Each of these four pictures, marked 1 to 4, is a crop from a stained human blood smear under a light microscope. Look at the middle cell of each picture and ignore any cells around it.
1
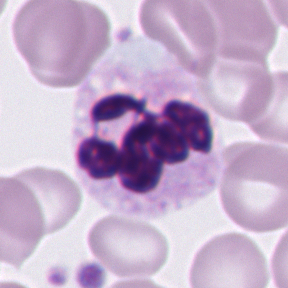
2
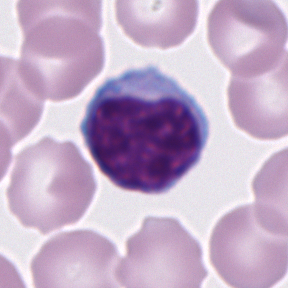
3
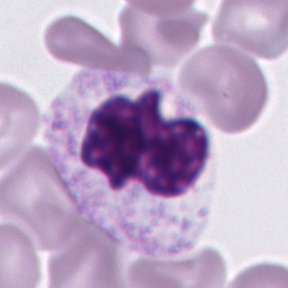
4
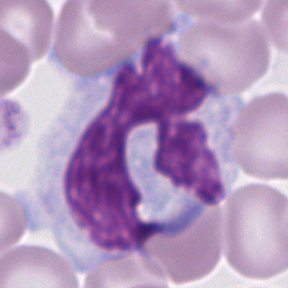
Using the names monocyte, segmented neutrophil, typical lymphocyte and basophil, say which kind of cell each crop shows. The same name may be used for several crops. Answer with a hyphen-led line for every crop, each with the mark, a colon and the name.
- 1: segmented neutrophil
- 2: typical lymphocyte
- 3: segmented neutrophil
- 4: monocyte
